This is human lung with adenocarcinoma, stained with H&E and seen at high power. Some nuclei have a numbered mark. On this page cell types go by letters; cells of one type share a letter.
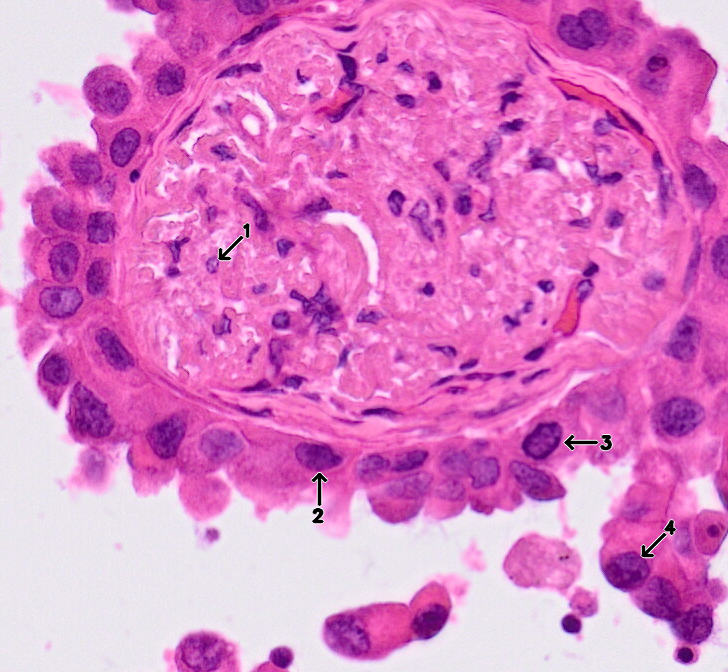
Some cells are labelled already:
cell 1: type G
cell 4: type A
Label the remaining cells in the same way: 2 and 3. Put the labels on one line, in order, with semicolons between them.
type A; type A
